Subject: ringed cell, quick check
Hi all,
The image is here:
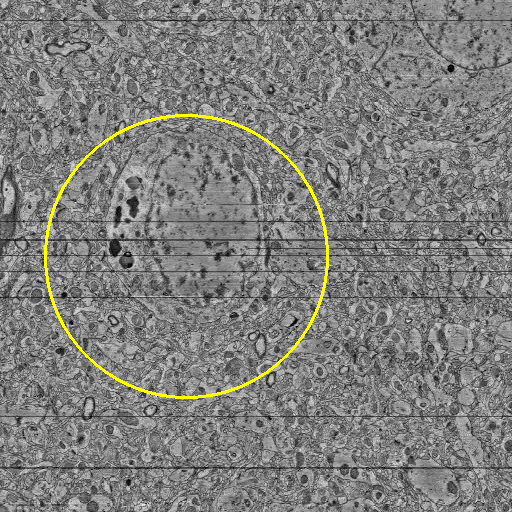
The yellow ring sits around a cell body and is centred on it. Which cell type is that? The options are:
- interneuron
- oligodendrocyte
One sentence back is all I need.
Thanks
That ringed cell is an interneuron.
